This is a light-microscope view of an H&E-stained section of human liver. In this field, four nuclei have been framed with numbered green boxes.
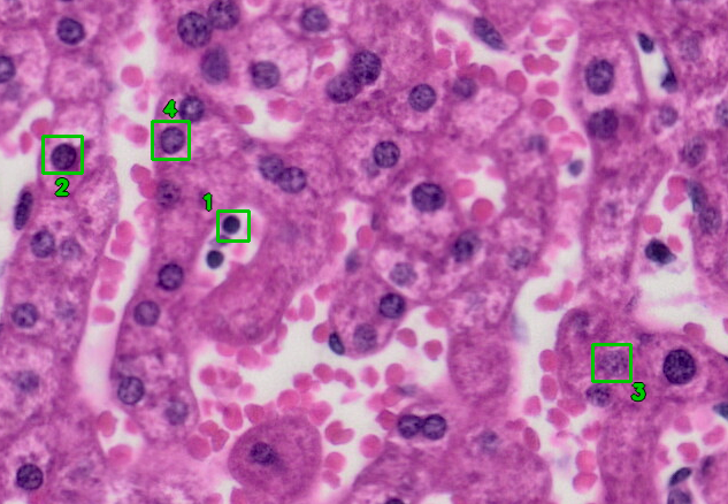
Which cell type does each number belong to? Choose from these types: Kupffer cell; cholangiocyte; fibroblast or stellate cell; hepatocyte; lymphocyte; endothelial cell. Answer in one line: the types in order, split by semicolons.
lymphocyte; hepatocyte; hepatocyte; hepatocyte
